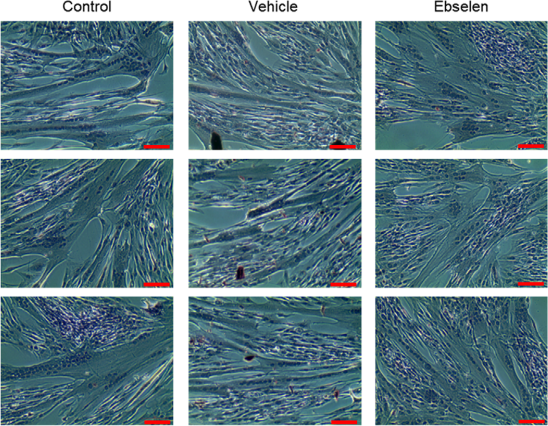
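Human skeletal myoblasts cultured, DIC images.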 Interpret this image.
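Between and over the myotubes lie crowded patches of smaller spindle-shaped cells with many small dark nuclei. In the middle column most of the elongated tubes look narrower than in the outer columns.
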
